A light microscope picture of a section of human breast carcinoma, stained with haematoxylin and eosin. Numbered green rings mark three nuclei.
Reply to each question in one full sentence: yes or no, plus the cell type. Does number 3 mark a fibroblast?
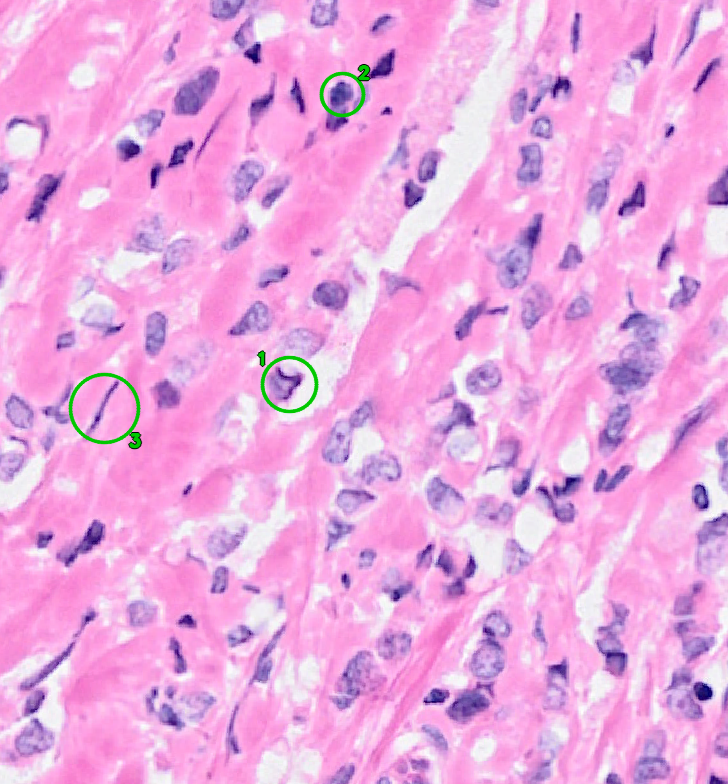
Yes, the cell pointed out as number 3 is a fibroblast.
